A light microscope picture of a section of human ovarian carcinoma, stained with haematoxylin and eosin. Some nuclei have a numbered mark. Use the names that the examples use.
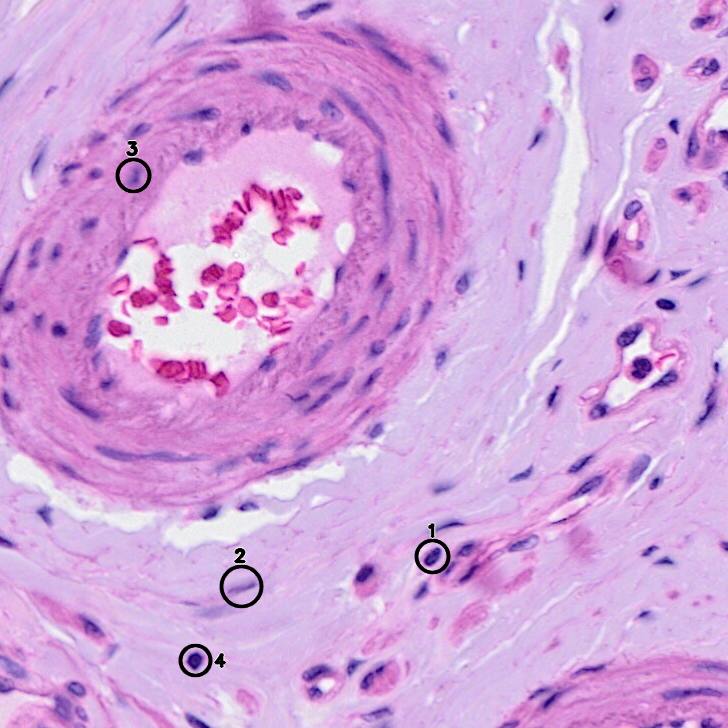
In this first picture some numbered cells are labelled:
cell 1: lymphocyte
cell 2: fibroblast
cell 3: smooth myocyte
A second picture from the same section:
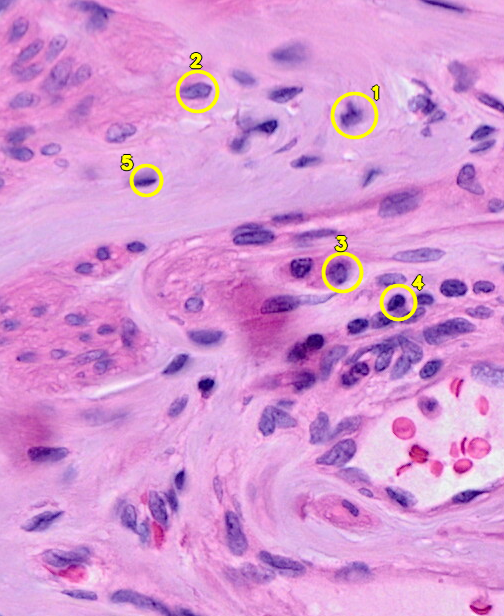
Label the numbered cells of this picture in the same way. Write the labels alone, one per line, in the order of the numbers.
fibroblast
smooth myocyte
lymphocyte
lymphocyte
fibroblast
